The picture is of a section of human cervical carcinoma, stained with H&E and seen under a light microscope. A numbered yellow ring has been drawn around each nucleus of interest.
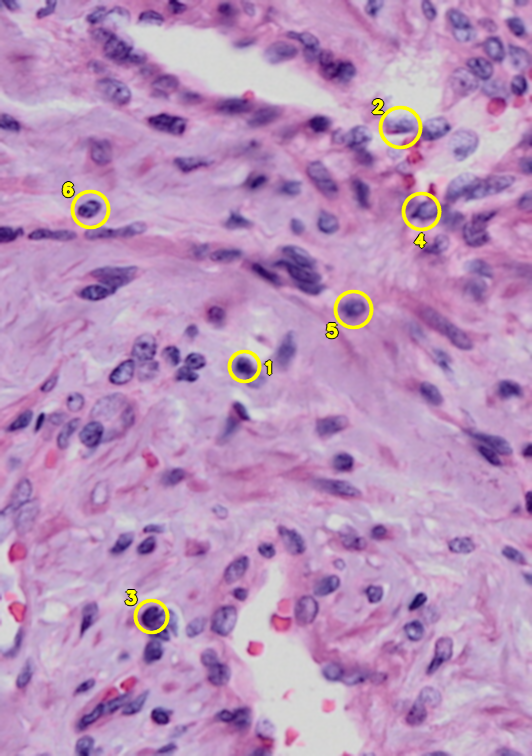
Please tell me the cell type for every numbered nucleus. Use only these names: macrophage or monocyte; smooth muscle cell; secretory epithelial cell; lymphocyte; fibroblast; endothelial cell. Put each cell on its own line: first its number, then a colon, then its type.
1: lymphocyte
2: endothelial cell
3: lymphocyte
4: endothelial cell
5: endothelial cell
6: lymphocyte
